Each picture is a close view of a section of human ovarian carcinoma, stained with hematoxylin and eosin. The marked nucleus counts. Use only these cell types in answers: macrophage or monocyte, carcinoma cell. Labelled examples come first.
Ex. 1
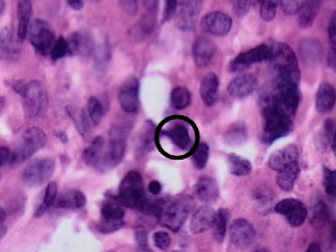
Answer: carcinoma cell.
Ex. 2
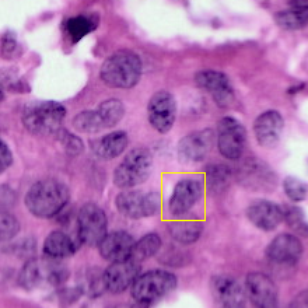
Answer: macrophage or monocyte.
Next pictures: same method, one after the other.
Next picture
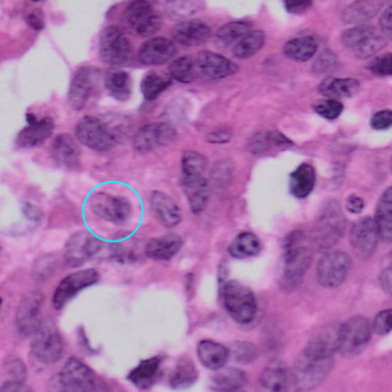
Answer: macrophage or monocyte.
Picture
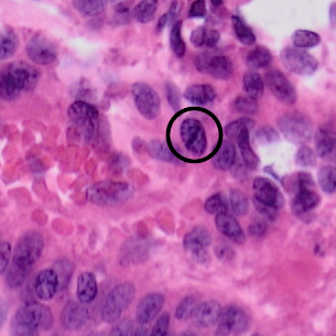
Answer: macrophage or monocyte.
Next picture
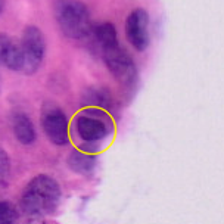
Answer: carcinoma cell.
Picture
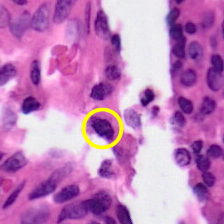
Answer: macrophage or monocyte.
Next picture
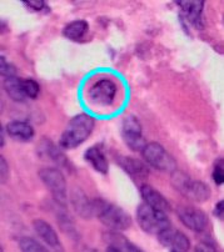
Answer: macrophage or monocyte.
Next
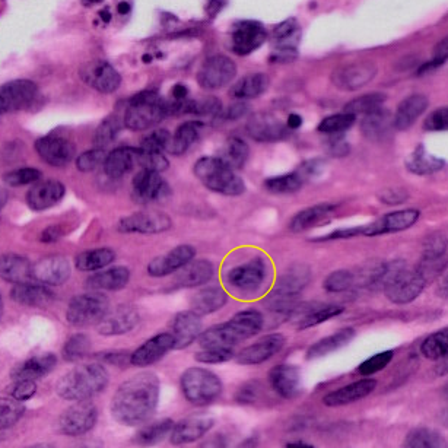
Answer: macrophage or monocyte.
